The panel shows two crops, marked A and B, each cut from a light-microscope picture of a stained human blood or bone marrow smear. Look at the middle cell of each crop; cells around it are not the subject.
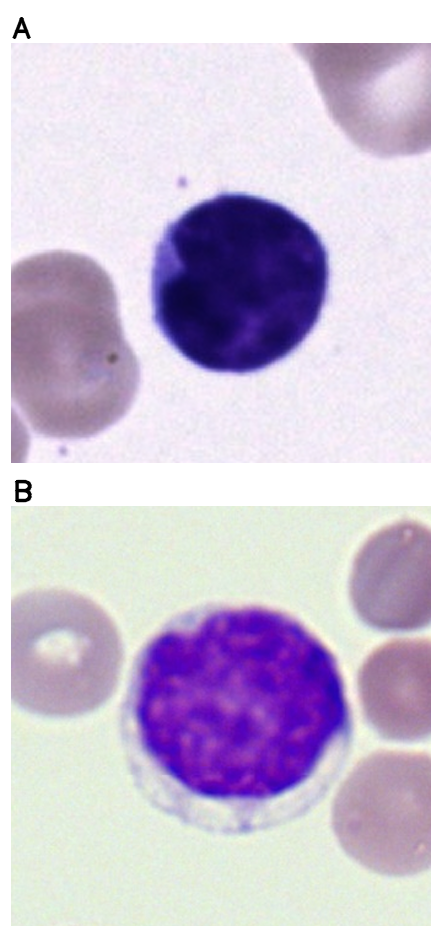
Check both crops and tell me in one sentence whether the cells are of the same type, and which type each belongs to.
Yes, both of the crops in this pair show lymphocytes, one cell in each crop.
